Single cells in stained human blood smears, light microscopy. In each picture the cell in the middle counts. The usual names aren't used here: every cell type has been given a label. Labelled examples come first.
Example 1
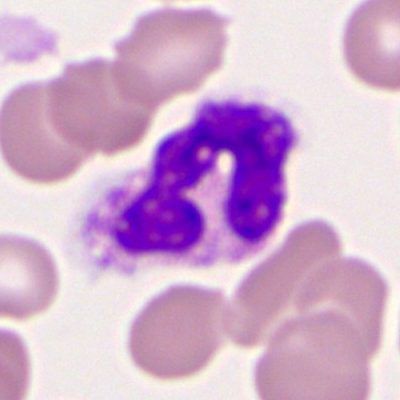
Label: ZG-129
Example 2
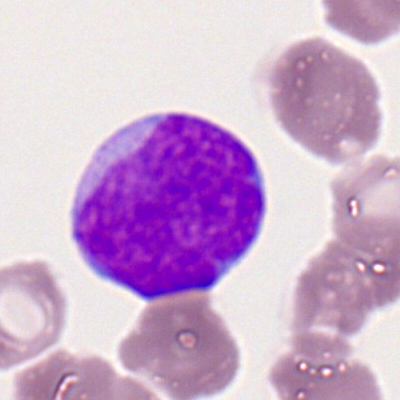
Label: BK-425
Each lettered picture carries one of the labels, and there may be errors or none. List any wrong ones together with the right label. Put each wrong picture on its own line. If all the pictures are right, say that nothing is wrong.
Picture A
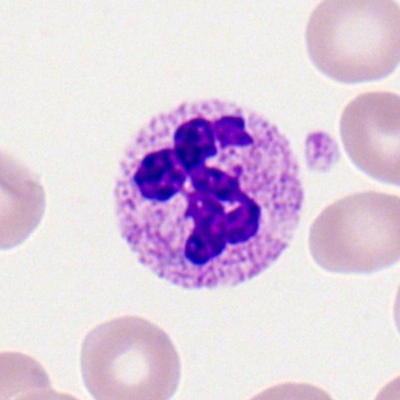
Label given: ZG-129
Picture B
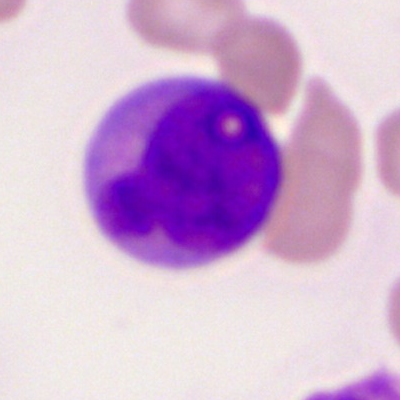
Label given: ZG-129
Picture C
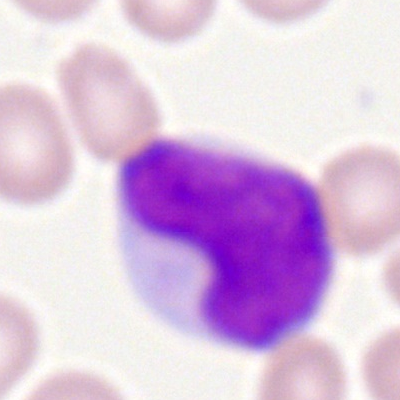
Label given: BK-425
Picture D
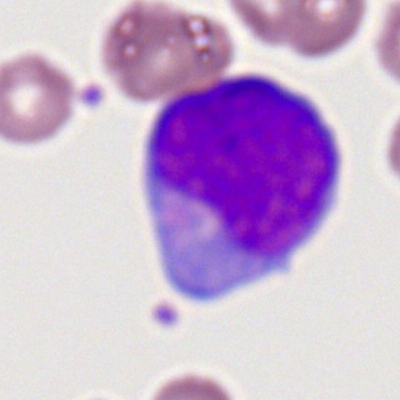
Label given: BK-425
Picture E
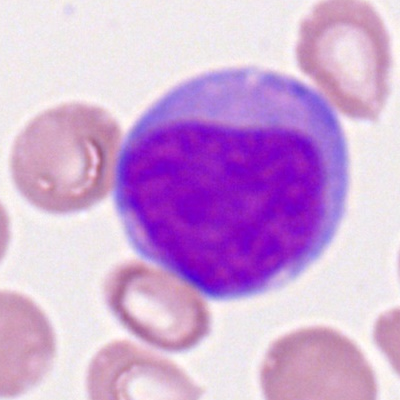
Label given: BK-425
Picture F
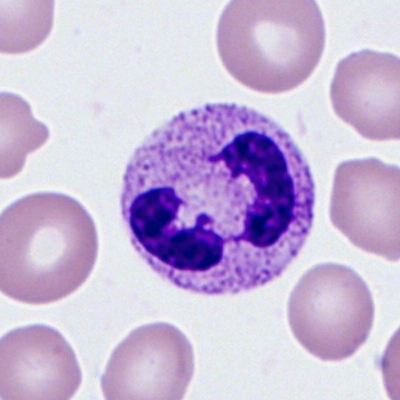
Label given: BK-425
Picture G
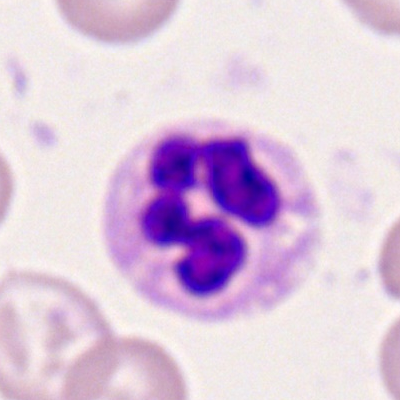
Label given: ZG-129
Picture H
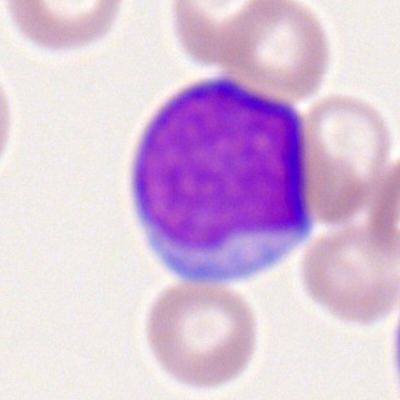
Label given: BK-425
Wrong: B (ZG-129); correct: BK-425
Wrong: F (BK-425); correct: ZG-129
